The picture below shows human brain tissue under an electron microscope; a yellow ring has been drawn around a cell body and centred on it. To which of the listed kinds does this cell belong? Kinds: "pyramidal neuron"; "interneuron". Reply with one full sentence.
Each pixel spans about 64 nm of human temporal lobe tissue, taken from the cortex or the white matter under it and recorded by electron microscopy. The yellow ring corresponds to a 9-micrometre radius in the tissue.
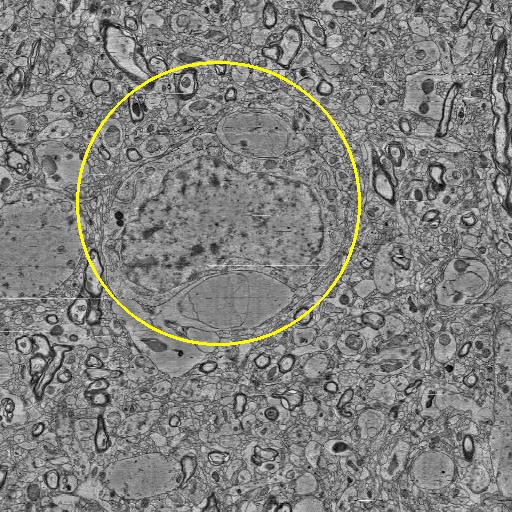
It is an interneuron that the yellow ring in the picture is centred on.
